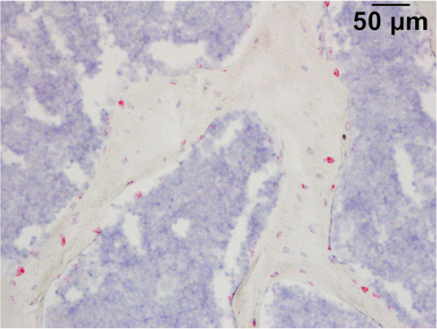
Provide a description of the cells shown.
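The red cells are small and somewhat elongated or triangular. The marrow itself is largely unlabelled, forming a granular purple mass with small clear gaps, while the edges of the trabeculae are marked by thin darker lines.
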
